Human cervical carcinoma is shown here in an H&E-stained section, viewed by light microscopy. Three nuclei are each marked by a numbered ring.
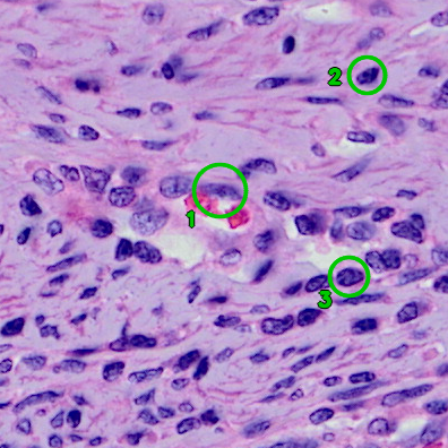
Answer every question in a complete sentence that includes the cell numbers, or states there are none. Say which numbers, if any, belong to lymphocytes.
The cells carrying the numbers 2 and 3 are lymphocytes.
